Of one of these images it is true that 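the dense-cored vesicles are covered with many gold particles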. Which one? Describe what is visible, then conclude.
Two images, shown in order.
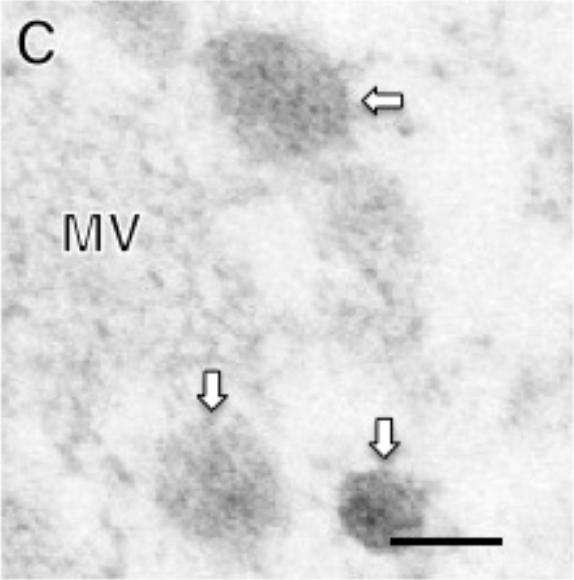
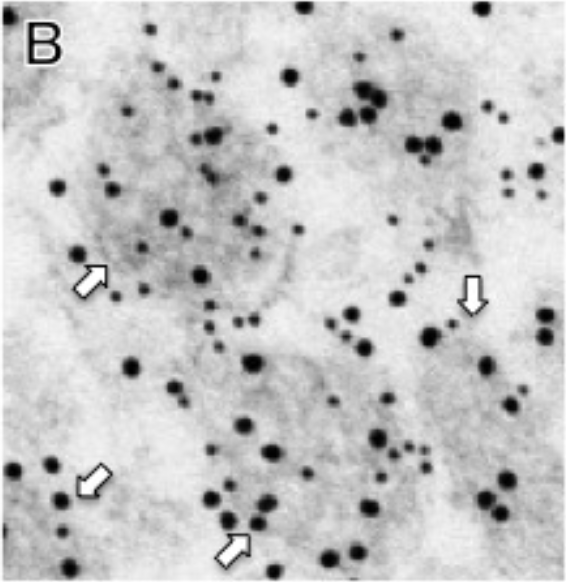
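The second image. First image: the dense-cored vesicles carry no black gold particles. Second image: many black dots of two sizes lie over and around the vesicles.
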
